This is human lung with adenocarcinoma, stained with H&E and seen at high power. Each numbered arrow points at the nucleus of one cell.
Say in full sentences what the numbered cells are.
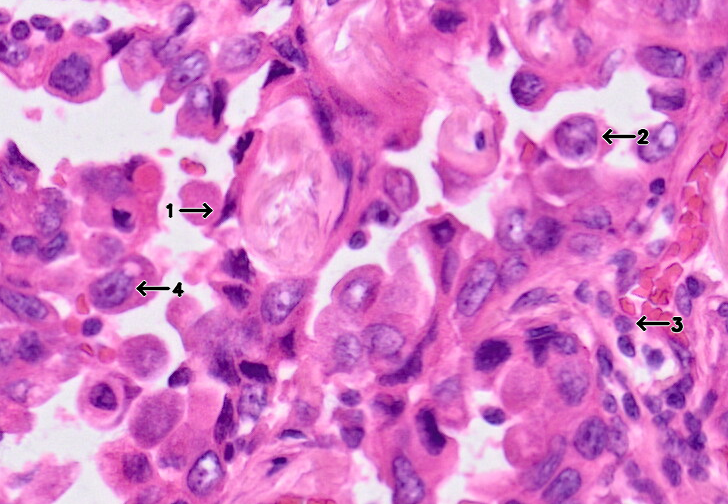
Cells 1, 2 and 4 are carcinoma cells. Cell 3 is a lymphocyte.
